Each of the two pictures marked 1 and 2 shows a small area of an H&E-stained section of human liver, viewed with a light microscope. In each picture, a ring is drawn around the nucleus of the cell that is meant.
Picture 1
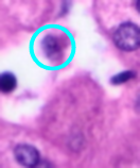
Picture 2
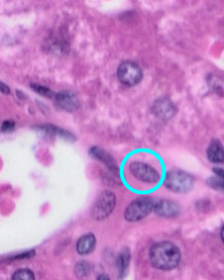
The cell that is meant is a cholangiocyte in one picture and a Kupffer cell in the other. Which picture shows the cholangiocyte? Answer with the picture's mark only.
2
